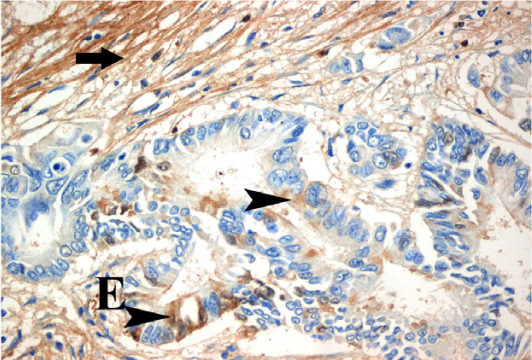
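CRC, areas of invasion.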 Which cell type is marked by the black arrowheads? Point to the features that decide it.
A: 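Arrowheads point to cells within glandular epithelial structures with crowded, enlarged nuclei. These epithelial cells show patchy brown staining.
Conclusion: tumor cells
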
